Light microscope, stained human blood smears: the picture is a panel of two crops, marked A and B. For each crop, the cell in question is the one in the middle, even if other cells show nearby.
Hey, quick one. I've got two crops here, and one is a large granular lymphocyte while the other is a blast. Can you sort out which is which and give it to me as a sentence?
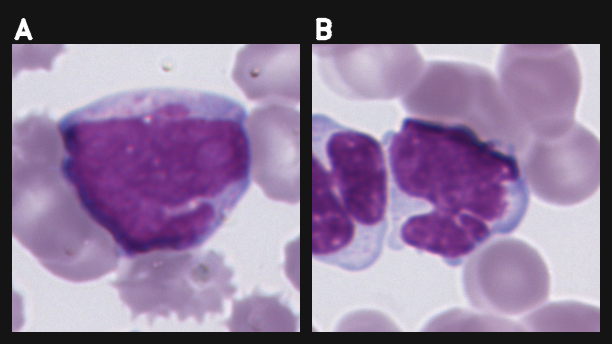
For crop A the cell is a blast, and for crop B it is a large granular lymphocyte.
